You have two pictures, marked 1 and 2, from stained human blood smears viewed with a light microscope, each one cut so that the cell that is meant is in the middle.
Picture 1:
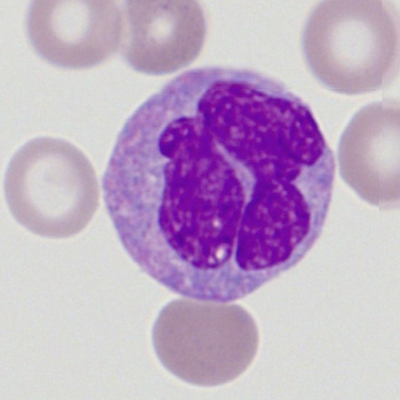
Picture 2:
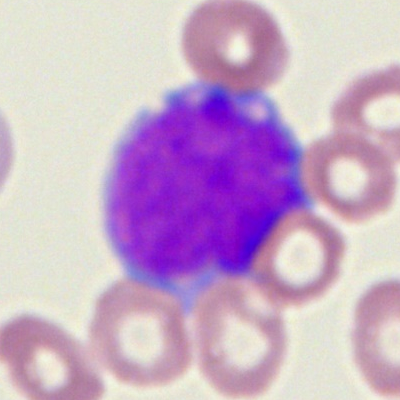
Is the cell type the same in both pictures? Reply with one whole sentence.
No, picture 1 shows a monocyte and picture 2 shows a myeloblast.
